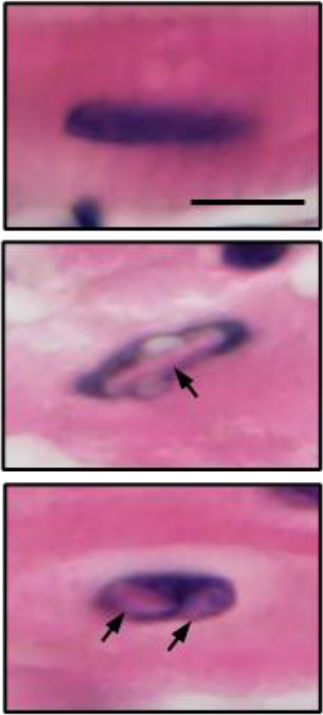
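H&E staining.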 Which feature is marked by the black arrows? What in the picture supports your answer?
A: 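Pink-staining material lies within the outline of the purple nuclei. The arrows point to pale pink areas enclosed by the nuclear rim. That points to this answer: Eosinophilic structures.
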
